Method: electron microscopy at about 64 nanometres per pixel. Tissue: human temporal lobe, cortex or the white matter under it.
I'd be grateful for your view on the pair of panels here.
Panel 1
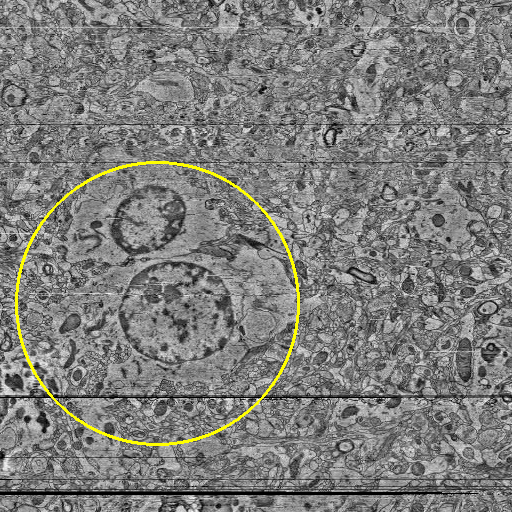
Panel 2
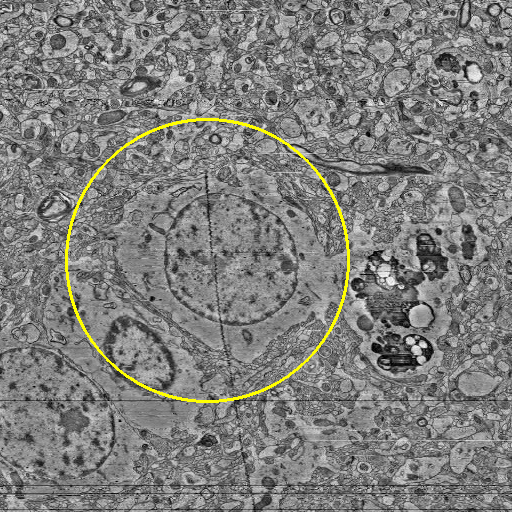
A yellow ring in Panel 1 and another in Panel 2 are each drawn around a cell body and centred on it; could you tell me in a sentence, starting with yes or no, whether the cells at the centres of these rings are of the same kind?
Yes, they are the same kind of cell.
